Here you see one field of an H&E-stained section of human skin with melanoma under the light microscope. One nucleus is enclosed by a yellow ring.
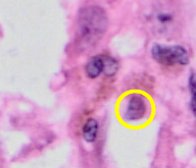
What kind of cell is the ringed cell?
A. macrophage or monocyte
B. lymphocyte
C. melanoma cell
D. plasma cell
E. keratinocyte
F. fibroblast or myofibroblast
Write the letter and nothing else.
A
